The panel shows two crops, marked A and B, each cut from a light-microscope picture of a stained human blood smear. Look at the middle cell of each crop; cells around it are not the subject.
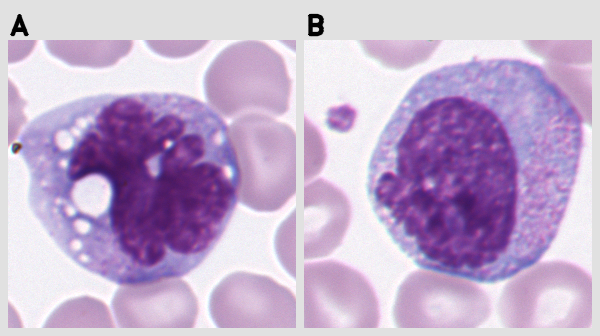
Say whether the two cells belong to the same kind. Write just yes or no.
no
